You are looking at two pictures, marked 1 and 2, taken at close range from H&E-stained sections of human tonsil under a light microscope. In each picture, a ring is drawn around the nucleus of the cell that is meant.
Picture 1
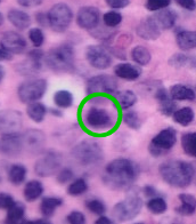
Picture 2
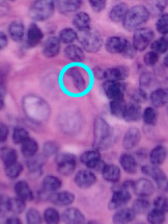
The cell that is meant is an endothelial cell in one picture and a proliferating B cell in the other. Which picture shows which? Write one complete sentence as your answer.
The cell in picture 1 is a proliferating B cell, and the one in picture 2 is an endothelial cell.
